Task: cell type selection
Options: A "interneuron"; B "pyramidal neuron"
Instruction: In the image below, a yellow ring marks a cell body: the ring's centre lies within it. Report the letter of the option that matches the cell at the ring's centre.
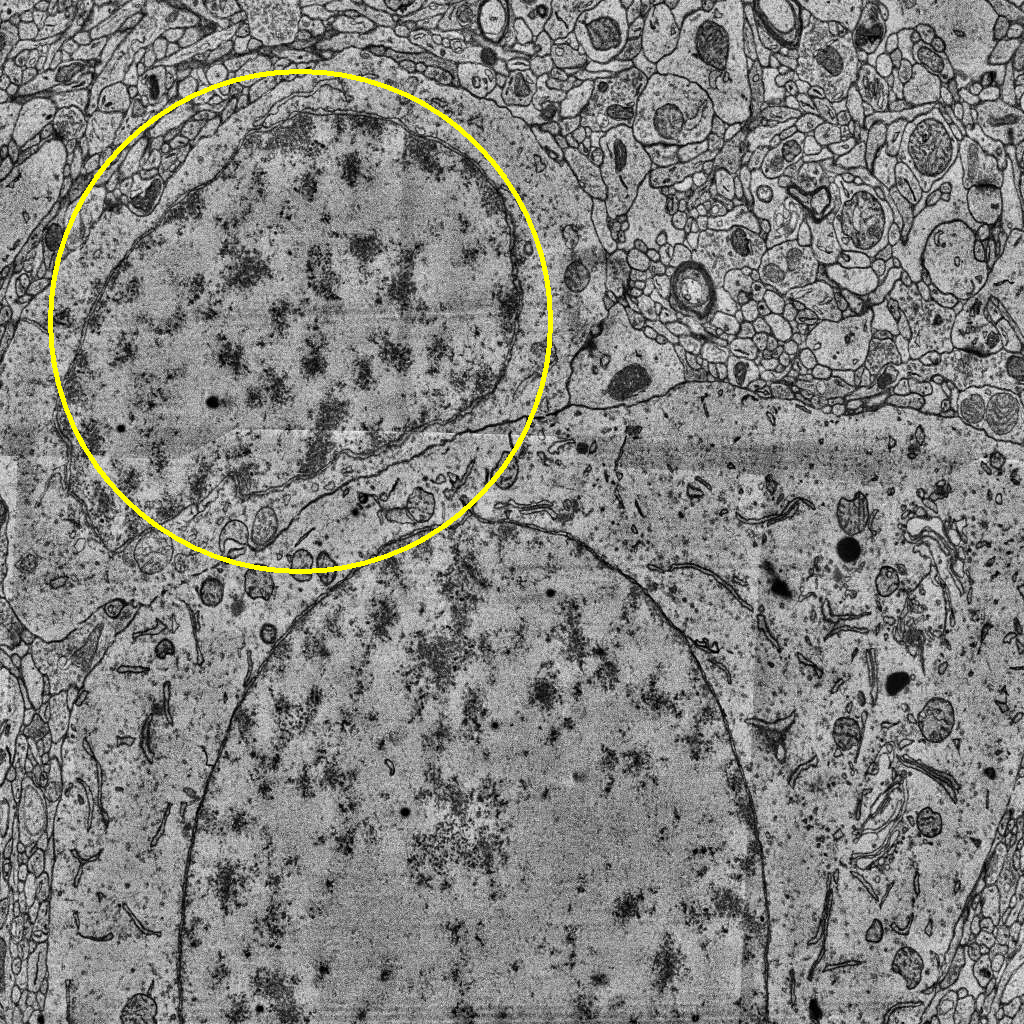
A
